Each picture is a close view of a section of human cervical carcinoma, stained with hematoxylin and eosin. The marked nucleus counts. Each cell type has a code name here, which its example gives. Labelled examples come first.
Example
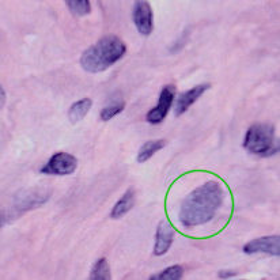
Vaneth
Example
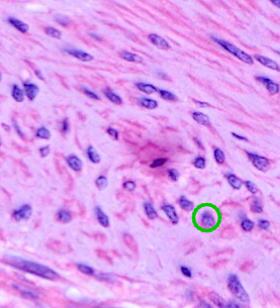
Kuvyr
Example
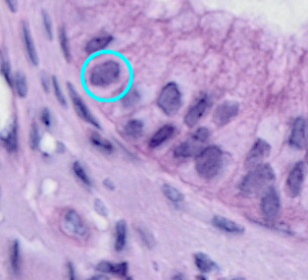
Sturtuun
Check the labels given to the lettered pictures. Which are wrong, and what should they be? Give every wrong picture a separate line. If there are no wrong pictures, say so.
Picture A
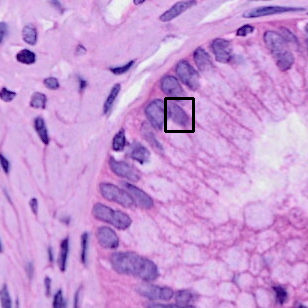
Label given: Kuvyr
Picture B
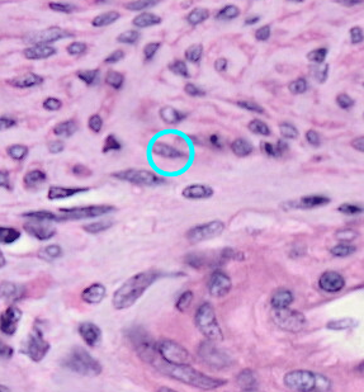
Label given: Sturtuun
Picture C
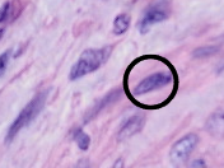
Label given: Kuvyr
A: change Kuvyr to Sturtuun
B: change Sturtuun to Kuvyr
